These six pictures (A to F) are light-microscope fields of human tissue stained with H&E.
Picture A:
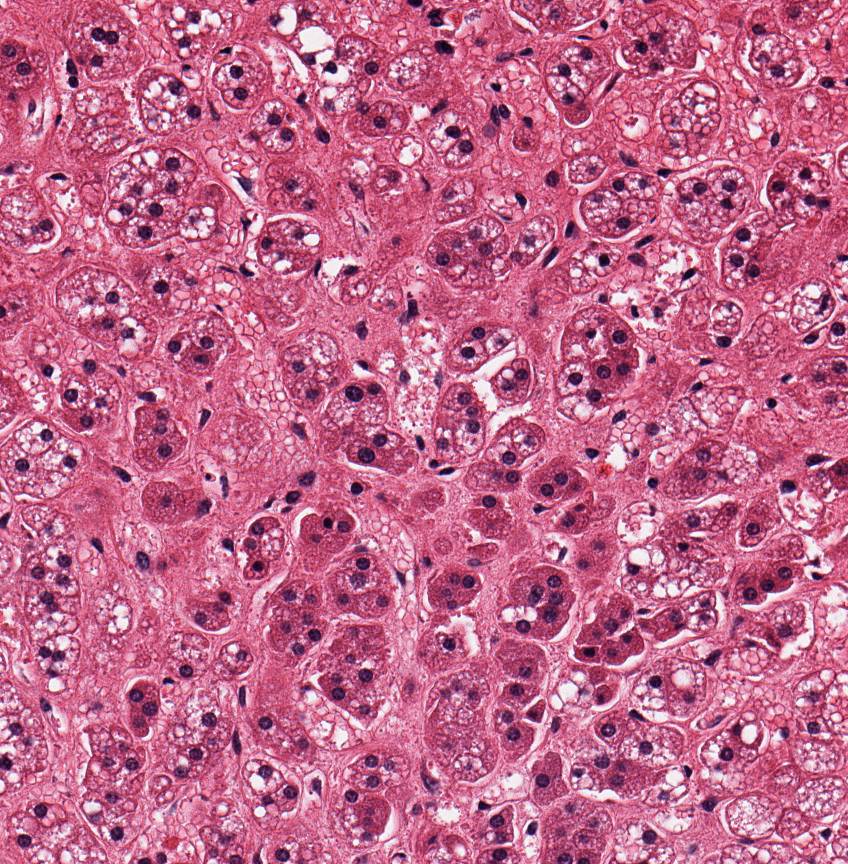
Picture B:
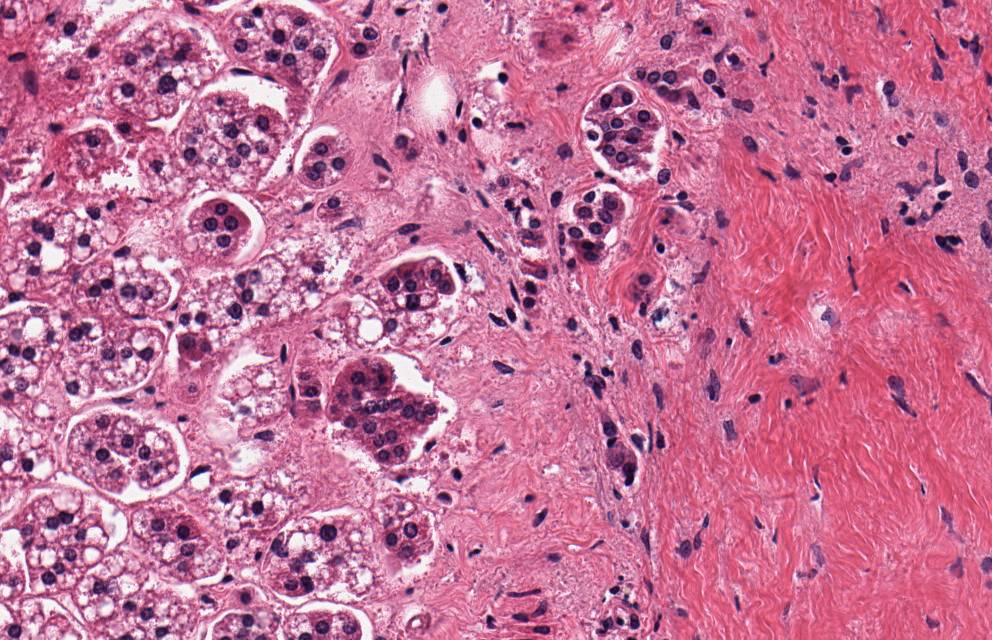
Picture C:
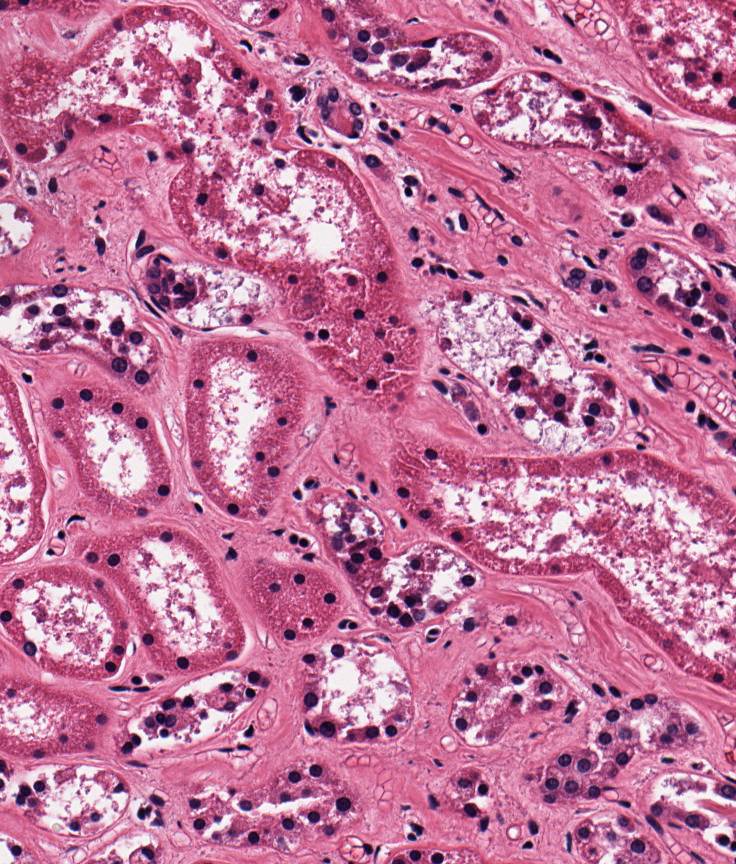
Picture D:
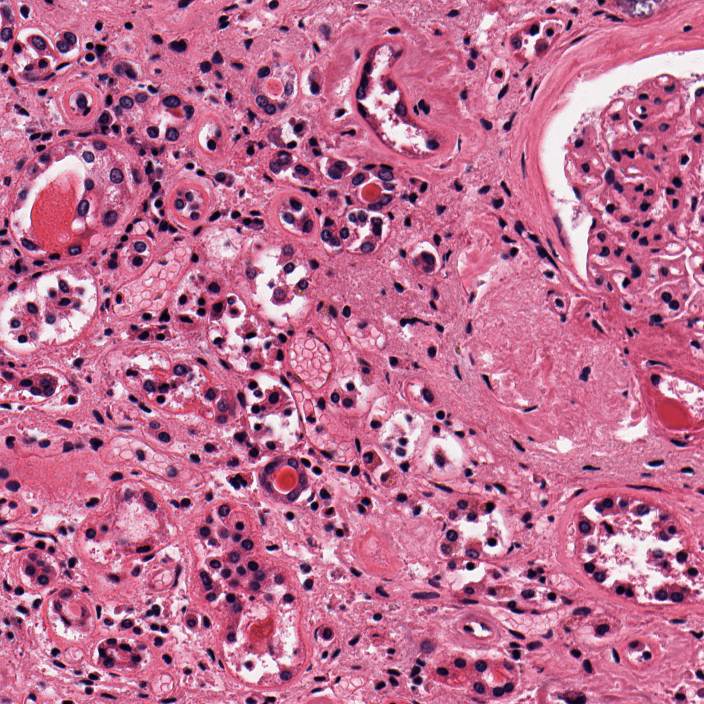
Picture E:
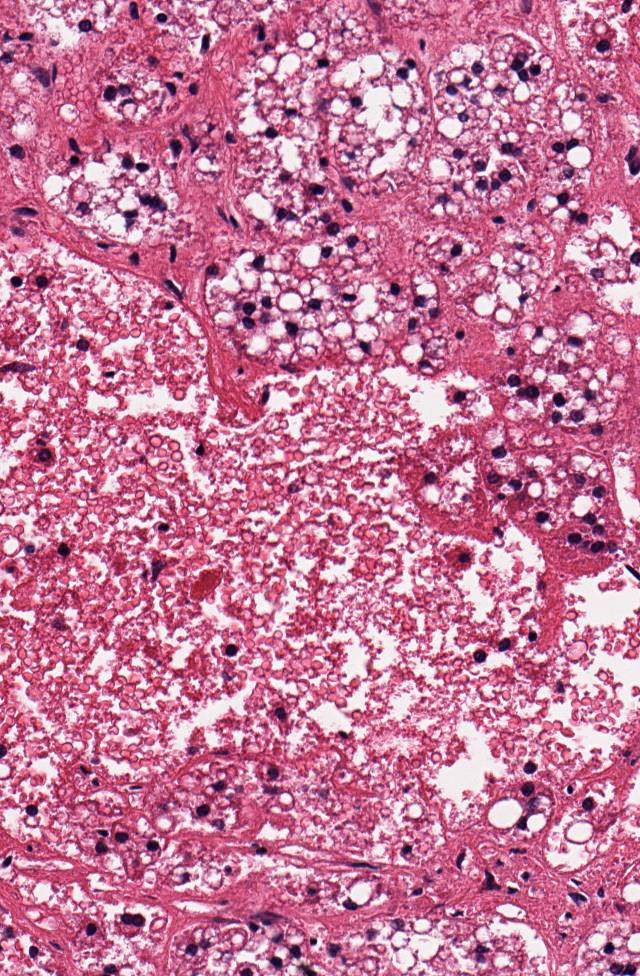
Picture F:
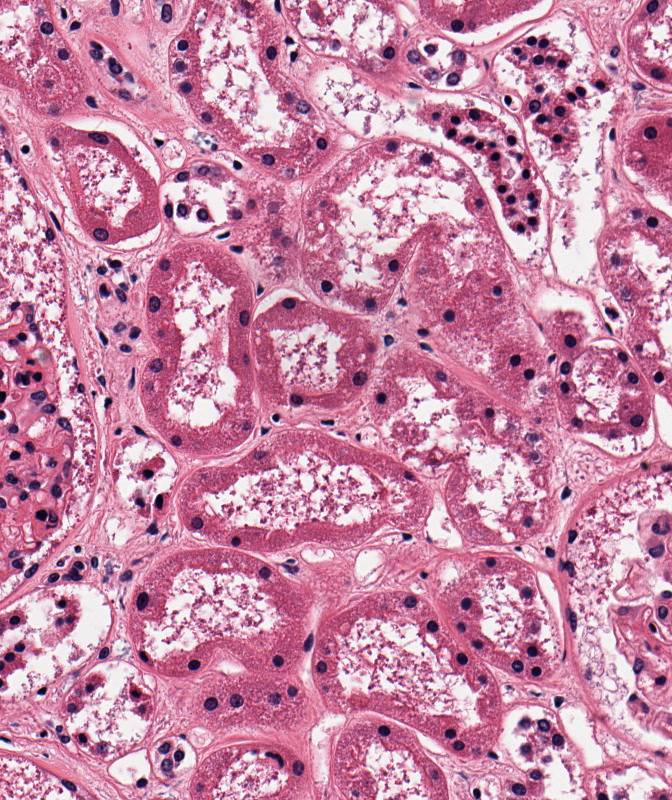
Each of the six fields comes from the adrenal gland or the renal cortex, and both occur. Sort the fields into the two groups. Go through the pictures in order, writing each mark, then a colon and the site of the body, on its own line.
A: adrenal gland
B: adrenal gland
C: renal cortex
D: renal cortex
E: adrenal gland
F: renal cortex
